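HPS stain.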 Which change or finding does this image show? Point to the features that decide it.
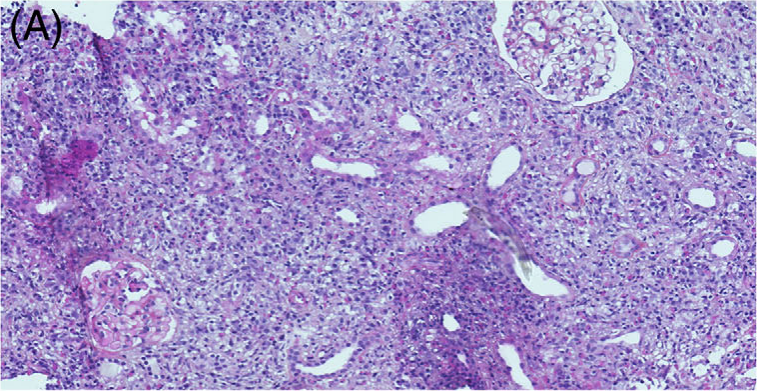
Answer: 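Dense sheets of small round dark nuclei fill the interstitium between tubules. Tubules are widely separated by the cellular infiltrate. Glomeruli are surrounded by the infiltrate. The answer: Renal lymphocytic infiltrate.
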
